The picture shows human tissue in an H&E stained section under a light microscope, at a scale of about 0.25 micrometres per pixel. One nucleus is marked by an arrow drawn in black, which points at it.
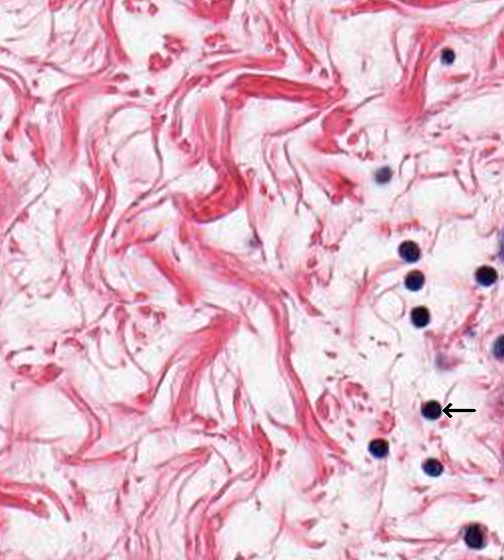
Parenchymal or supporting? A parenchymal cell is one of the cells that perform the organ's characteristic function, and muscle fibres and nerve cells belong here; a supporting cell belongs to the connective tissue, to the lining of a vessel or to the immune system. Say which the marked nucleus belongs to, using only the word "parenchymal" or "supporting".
supporting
